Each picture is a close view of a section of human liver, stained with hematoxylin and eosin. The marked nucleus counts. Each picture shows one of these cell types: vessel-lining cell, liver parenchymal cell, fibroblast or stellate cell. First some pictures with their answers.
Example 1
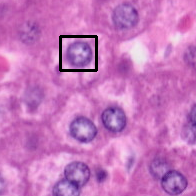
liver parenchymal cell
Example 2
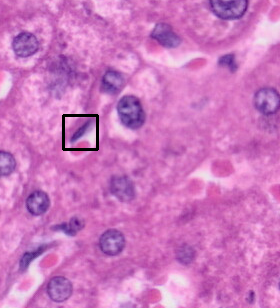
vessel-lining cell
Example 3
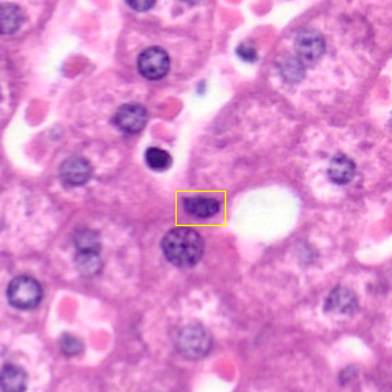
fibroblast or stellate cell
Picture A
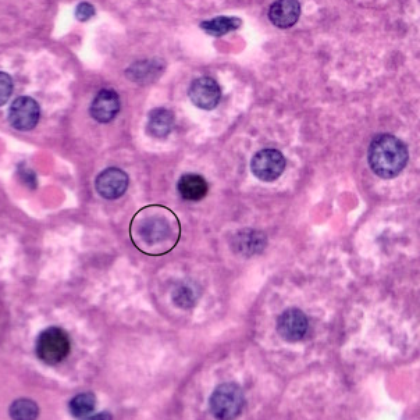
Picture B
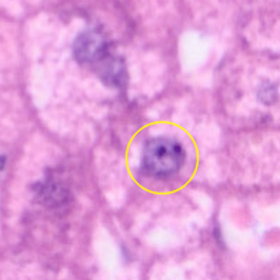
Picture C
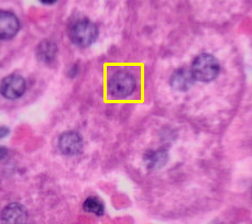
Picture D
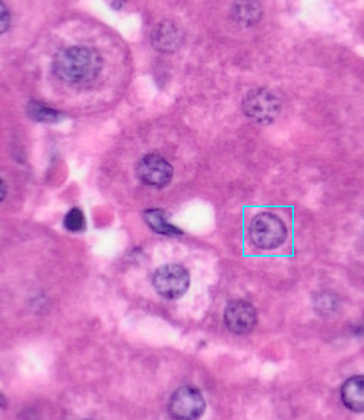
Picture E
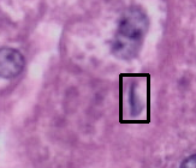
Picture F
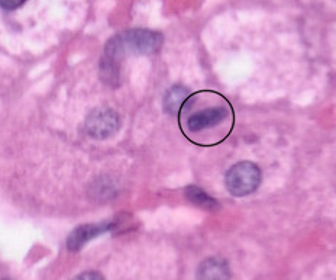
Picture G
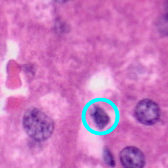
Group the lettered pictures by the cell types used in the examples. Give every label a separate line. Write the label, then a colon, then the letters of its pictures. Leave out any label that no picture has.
vessel-lining cell: E, G
liver parenchymal cell: A, B, C, D
fibroblast or stellate cell: F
